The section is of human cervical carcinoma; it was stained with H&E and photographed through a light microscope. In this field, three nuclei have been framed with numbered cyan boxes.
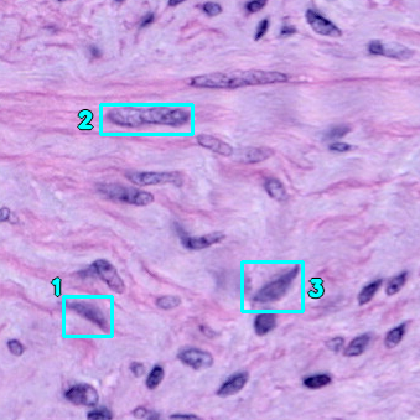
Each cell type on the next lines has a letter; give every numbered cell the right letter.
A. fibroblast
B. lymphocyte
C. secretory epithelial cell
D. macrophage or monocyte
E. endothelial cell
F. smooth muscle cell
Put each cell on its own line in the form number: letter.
1: F
2: F
3: A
